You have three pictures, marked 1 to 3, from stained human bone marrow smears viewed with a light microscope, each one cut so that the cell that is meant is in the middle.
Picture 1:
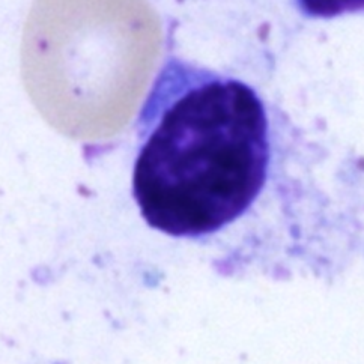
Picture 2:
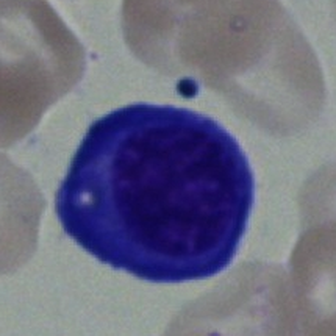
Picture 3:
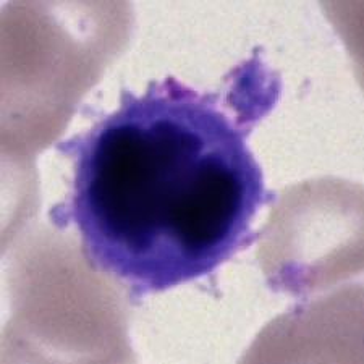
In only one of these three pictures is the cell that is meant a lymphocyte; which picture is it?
1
